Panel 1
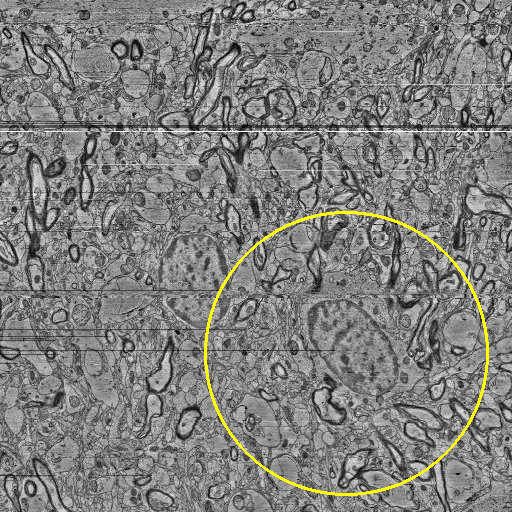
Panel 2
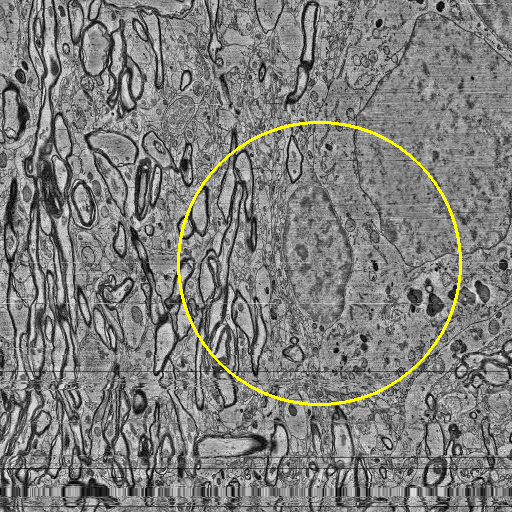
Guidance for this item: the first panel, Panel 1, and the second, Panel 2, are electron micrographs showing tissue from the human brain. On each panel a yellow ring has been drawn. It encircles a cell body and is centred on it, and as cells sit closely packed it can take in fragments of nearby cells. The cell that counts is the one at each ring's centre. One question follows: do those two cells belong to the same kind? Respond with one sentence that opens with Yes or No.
Yes, the cells at the ring centres in Panel 1 and Panel 2 are of one kind.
